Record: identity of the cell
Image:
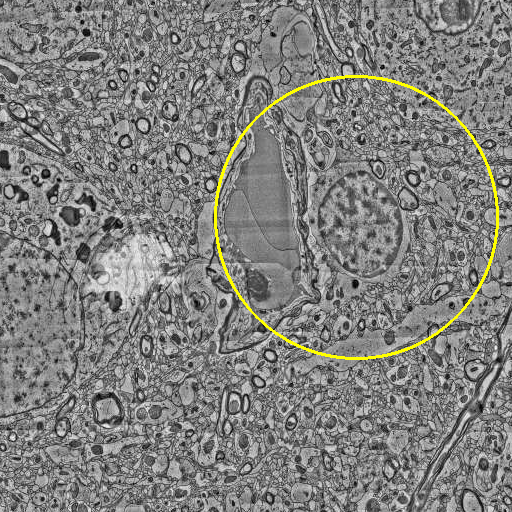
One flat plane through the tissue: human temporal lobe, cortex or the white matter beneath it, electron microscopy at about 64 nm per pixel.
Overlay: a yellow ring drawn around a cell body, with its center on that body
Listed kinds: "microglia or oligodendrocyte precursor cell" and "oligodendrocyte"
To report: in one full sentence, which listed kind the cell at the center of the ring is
In the image, the cell body at the ring's center belongs to an oligodendrocyte.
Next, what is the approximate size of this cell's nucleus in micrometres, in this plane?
In this plane the nucleus measures roughly 7 by 5 micrometres.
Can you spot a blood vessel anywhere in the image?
Yes, the image shows a blood vessel.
